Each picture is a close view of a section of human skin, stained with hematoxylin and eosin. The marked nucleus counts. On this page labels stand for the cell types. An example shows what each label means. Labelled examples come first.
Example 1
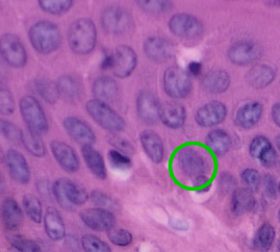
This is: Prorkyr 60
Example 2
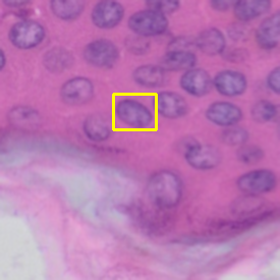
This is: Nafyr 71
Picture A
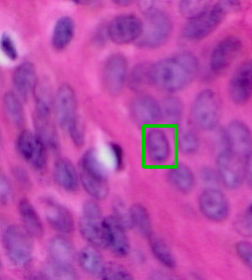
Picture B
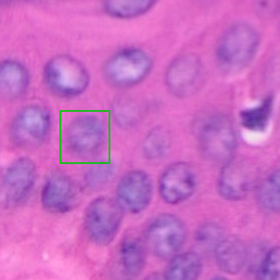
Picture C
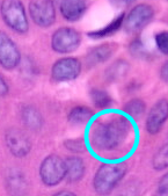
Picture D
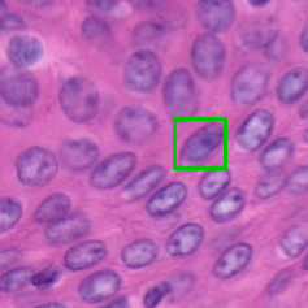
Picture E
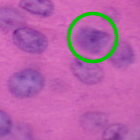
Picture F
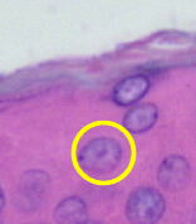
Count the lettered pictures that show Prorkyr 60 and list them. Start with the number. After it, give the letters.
2, namely A, C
